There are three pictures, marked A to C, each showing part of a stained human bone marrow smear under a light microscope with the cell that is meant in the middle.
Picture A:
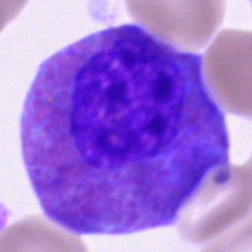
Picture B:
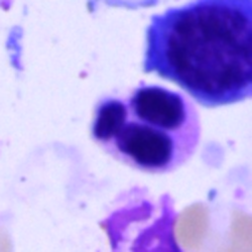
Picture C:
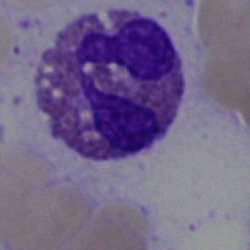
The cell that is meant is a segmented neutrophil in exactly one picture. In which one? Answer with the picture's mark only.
B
